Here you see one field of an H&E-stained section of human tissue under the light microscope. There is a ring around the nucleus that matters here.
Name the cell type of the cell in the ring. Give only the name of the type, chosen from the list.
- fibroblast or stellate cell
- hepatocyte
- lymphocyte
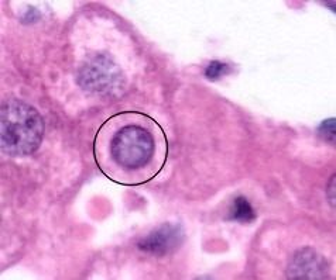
hepatocyte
